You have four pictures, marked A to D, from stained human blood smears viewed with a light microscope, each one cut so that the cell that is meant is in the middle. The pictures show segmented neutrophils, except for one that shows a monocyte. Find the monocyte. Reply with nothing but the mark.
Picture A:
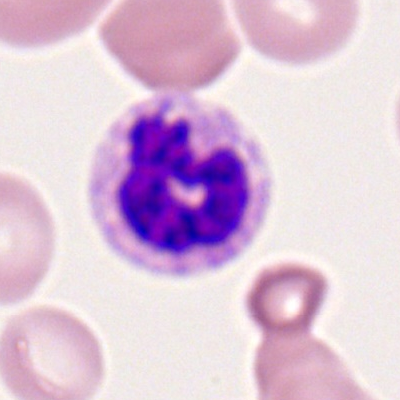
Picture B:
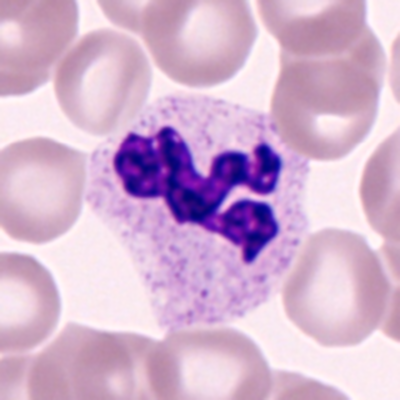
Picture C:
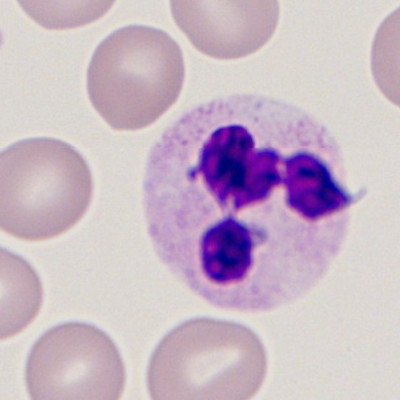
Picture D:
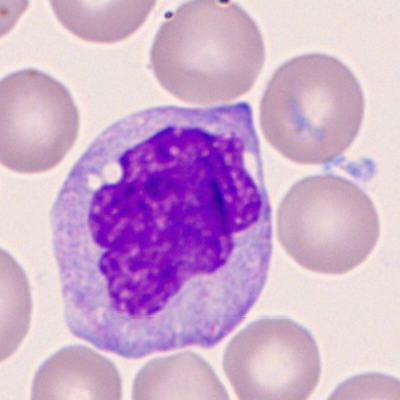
D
